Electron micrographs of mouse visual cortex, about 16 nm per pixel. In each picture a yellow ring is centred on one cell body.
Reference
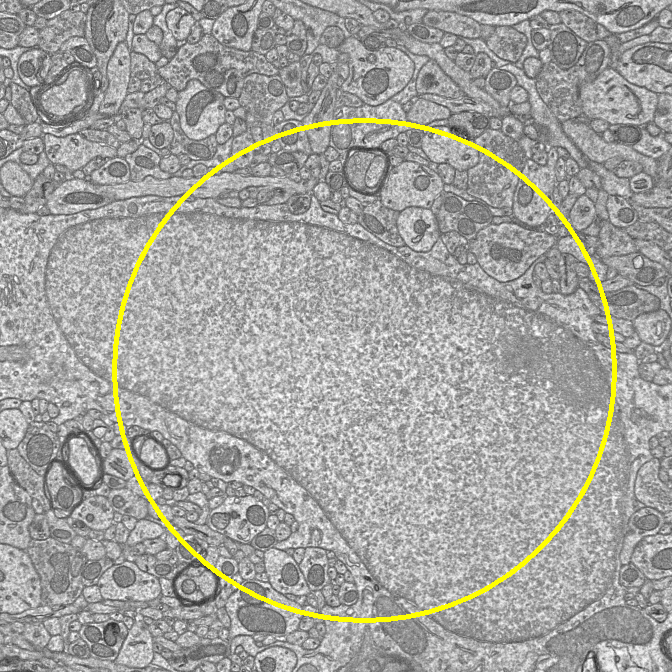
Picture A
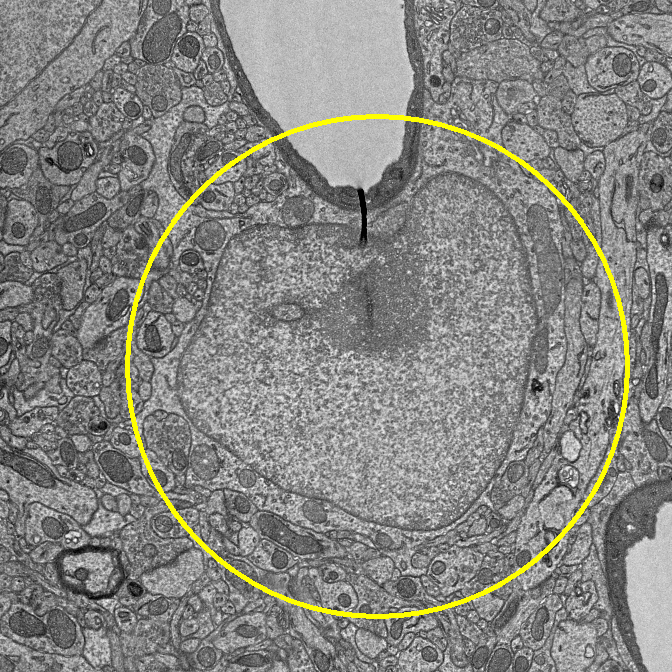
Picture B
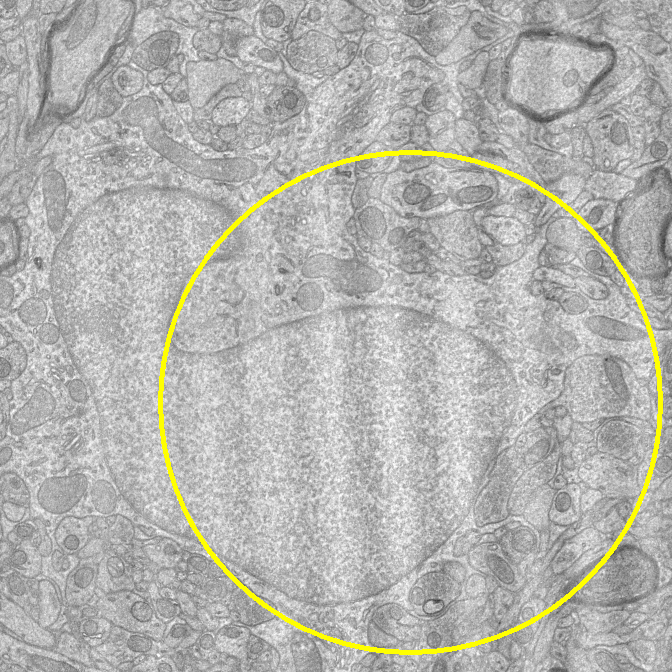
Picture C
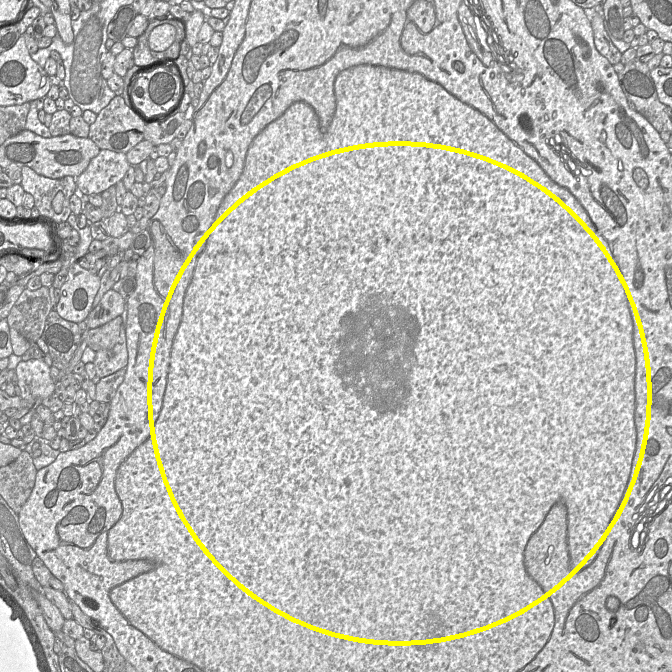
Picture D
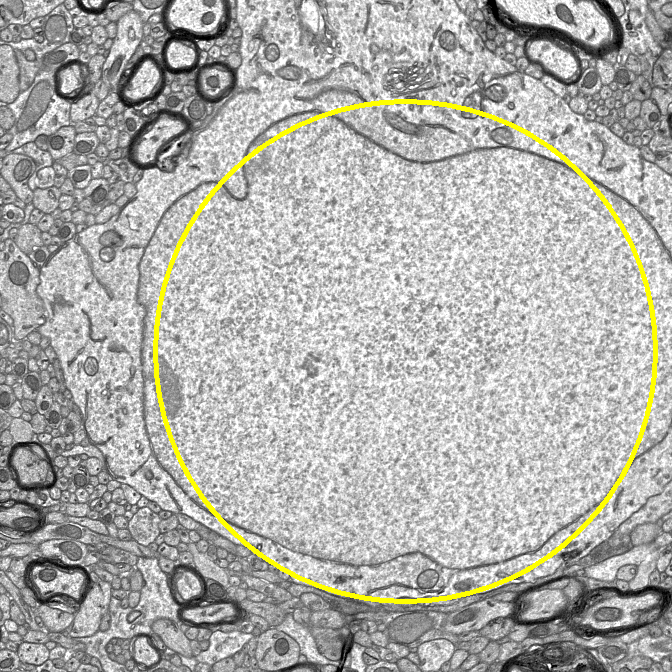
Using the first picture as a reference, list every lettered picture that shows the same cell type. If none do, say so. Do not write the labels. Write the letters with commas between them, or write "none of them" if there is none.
A, B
